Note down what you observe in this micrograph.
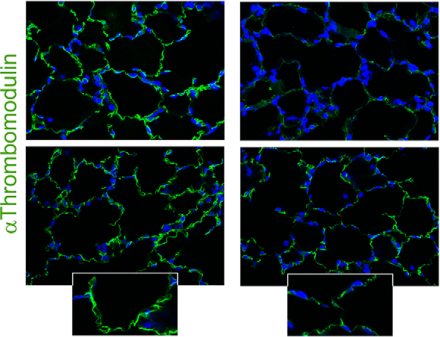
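This is lung parenchyma, a lacework of thin alveolar walls surrounding large open air spaces that appear black. The green stain traces the walls as fine continuous lines, following the small vessels that run within the septa. Blue oval nuclei are strung along the walls, sometimes gathered where several walls meet. In the right-hand pair of images the green lining looks thinner, fainter and more broken, so that many walls show blue nuclei with little green beside them. The enlarged insets at the bottom let you follow a single wall and compare how continuous its green outline is.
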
